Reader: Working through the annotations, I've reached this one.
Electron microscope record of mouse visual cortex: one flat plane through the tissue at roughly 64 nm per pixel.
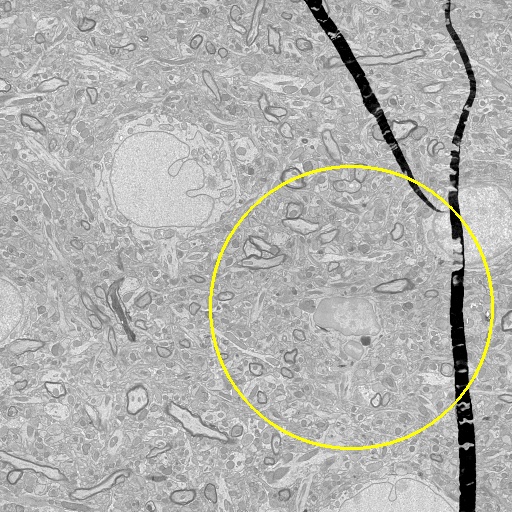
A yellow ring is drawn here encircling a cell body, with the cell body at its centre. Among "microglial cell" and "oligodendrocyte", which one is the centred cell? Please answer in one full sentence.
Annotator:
The cell body at the centre of the yellow ring in this image belongs to a microglial cell.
